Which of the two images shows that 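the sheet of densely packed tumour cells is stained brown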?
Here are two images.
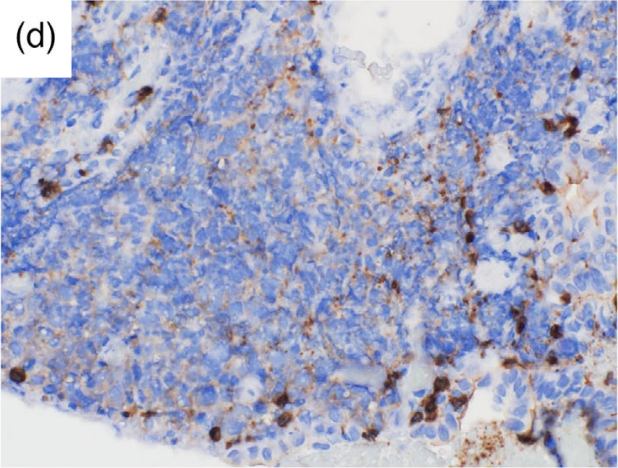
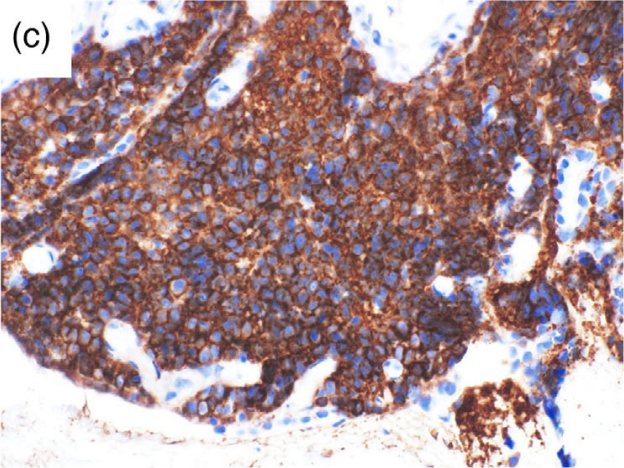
The second image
